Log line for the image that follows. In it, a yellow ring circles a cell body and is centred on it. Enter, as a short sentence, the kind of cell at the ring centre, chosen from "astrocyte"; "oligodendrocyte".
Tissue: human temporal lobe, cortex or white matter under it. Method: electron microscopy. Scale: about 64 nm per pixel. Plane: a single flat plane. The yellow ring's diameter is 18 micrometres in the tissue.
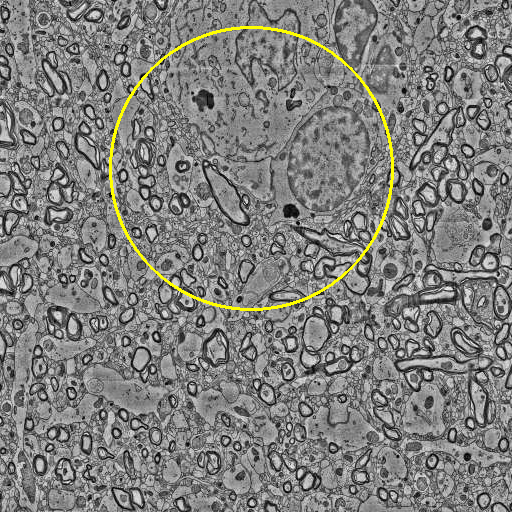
The ring centre is occupied by an oligodendrocyte.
